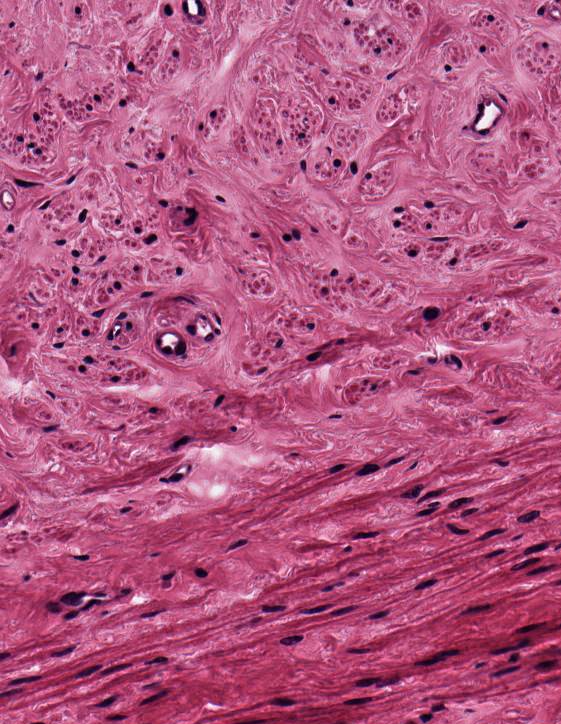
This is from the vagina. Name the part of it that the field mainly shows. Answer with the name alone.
smooth muscle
